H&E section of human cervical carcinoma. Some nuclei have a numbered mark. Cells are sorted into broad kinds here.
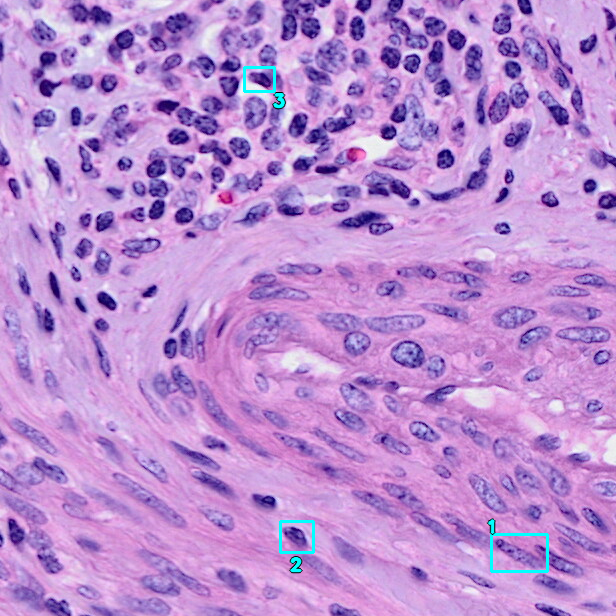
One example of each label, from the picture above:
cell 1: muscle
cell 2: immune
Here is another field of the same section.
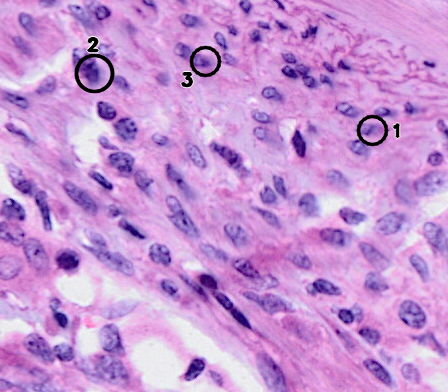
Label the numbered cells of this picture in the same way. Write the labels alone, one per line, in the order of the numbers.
muscle
immune
muscle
